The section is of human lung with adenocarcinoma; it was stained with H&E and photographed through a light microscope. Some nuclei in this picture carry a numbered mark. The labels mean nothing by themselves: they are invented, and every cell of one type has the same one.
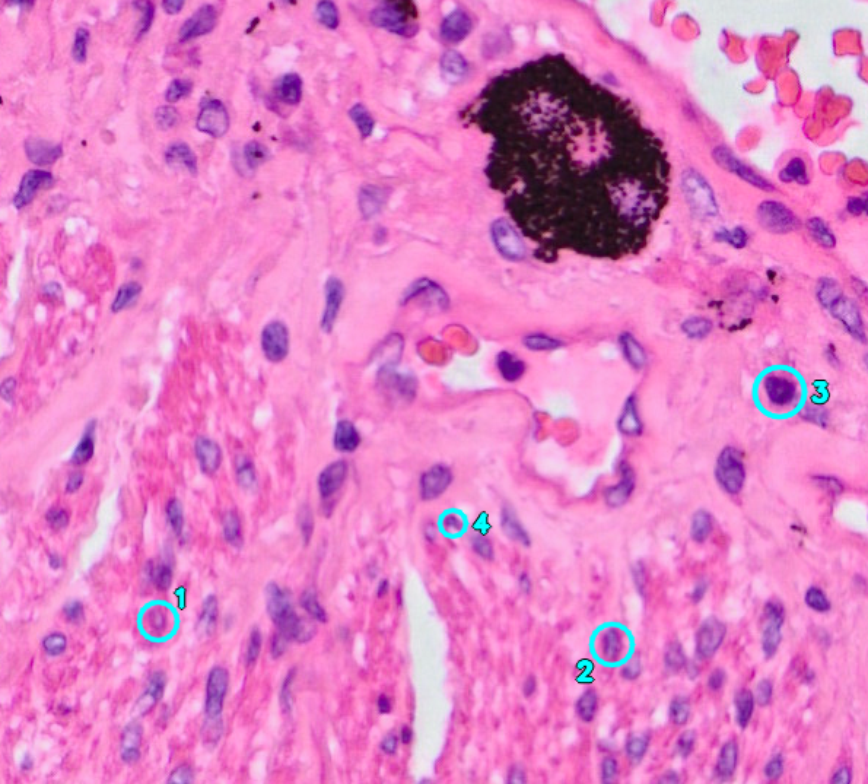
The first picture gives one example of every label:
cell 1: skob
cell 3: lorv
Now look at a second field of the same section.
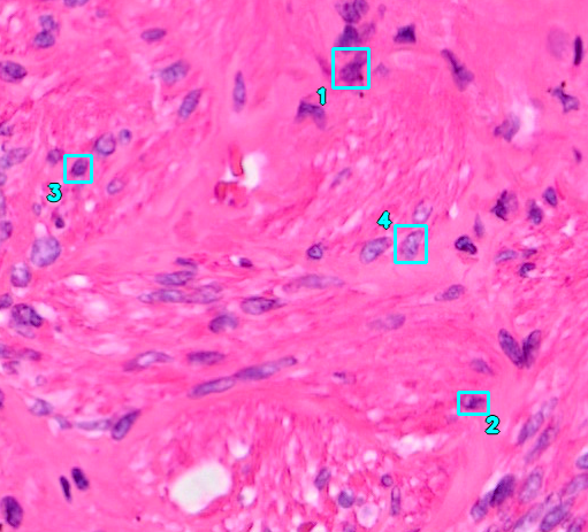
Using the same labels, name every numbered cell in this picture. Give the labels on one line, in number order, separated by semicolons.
lorv; skob; skob; skob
